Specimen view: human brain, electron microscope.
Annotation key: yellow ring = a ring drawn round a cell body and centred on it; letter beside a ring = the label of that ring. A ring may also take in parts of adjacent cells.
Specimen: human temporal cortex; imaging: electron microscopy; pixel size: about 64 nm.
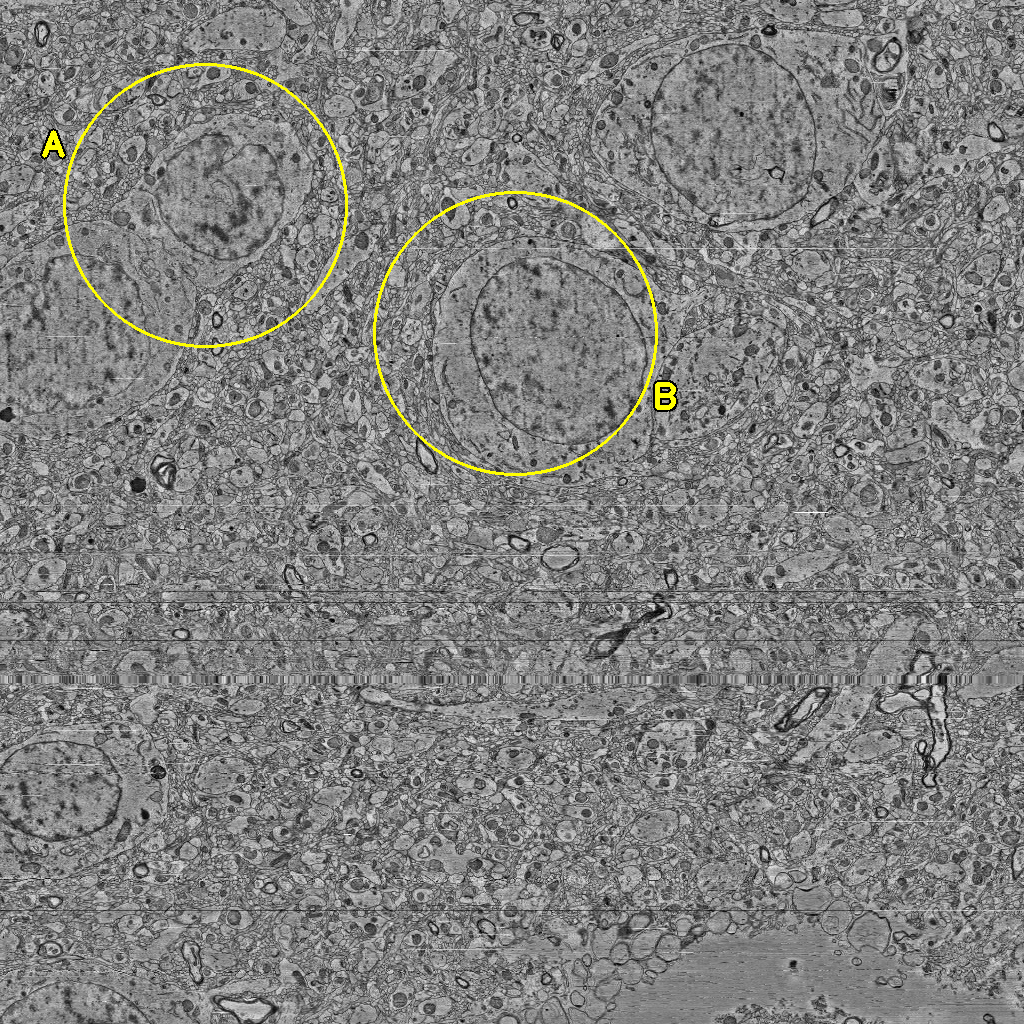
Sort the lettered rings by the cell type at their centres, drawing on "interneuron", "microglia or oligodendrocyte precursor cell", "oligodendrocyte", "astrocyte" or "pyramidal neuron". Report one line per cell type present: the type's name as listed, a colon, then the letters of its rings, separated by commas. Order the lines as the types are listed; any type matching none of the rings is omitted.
interneuron: A
pyramidal neuron: B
